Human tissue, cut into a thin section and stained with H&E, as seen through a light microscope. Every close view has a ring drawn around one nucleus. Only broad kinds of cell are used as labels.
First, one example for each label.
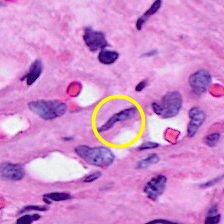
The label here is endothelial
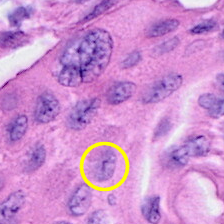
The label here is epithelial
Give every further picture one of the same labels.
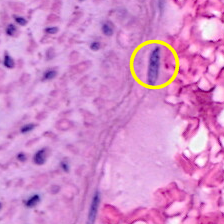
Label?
endothelial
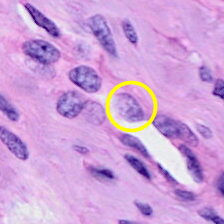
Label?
endothelial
